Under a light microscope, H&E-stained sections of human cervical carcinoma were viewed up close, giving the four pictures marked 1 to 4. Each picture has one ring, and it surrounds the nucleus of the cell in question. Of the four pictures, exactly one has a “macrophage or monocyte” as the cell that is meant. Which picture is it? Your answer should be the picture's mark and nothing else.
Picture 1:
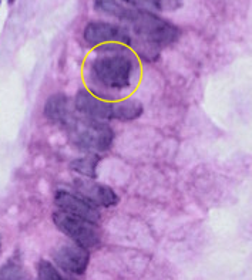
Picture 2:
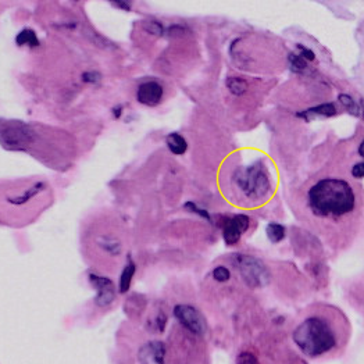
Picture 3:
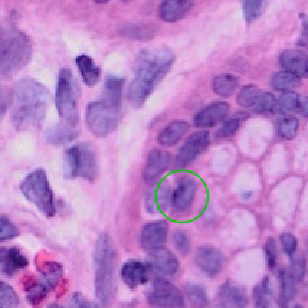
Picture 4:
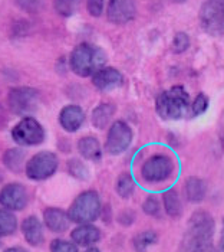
2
